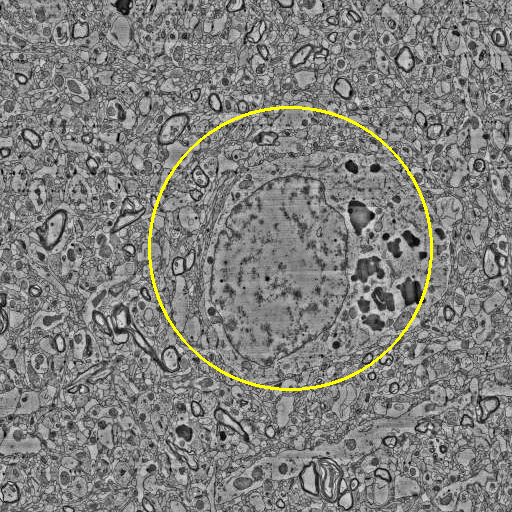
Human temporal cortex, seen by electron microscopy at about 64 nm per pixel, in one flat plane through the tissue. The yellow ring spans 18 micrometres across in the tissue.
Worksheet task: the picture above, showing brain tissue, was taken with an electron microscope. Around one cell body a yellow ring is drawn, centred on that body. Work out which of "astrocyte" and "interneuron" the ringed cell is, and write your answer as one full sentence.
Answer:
It is an interneuron whose cell body lies at the centre of the yellow ring.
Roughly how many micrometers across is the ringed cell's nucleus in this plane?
In this plane, the nucleus of the cell at the centre of the ring measures about 12 by 9 micrometres.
